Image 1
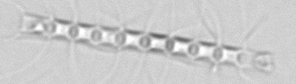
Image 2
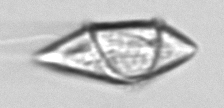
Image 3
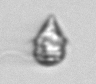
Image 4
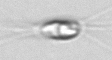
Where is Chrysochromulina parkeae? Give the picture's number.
4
